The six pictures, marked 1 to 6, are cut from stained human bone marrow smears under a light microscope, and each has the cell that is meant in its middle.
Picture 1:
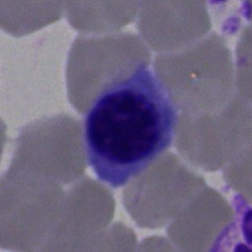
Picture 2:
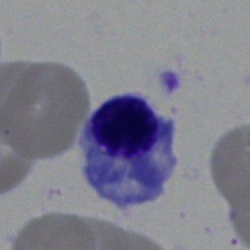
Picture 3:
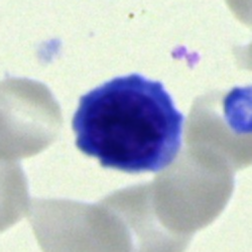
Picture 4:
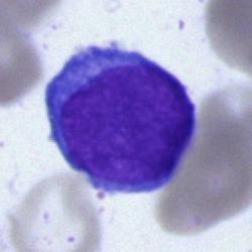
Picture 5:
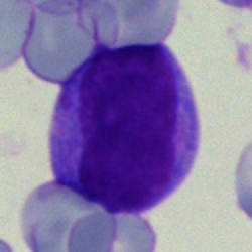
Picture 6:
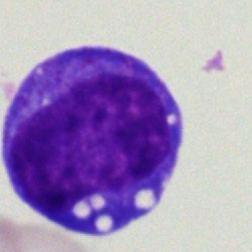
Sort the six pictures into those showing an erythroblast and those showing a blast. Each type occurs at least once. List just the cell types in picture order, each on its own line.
erythroblast
erythroblast
erythroblast
blast
blast
blast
